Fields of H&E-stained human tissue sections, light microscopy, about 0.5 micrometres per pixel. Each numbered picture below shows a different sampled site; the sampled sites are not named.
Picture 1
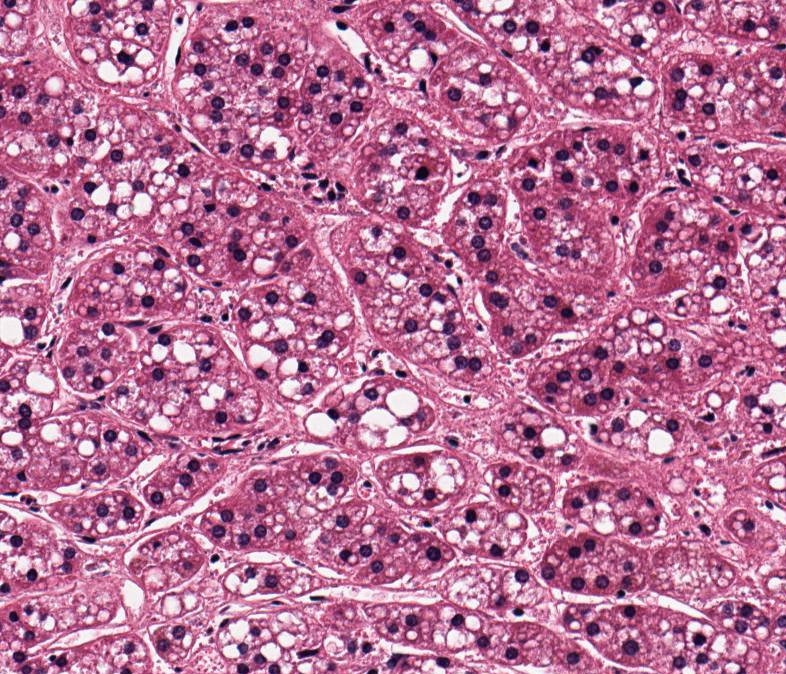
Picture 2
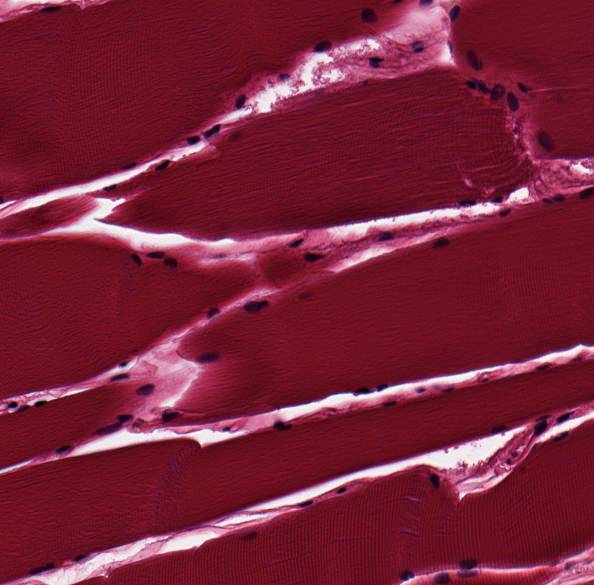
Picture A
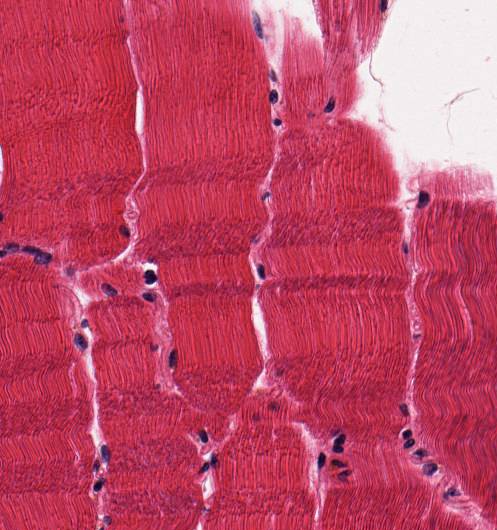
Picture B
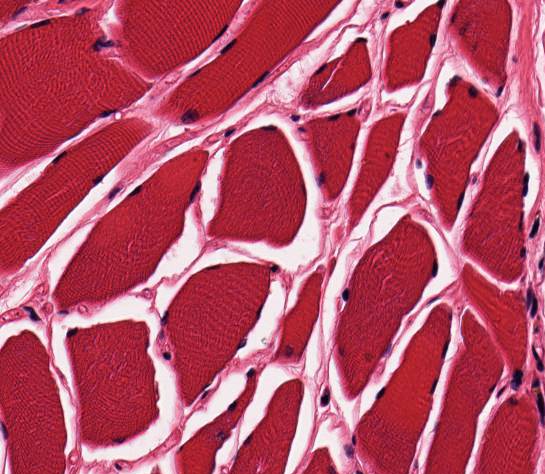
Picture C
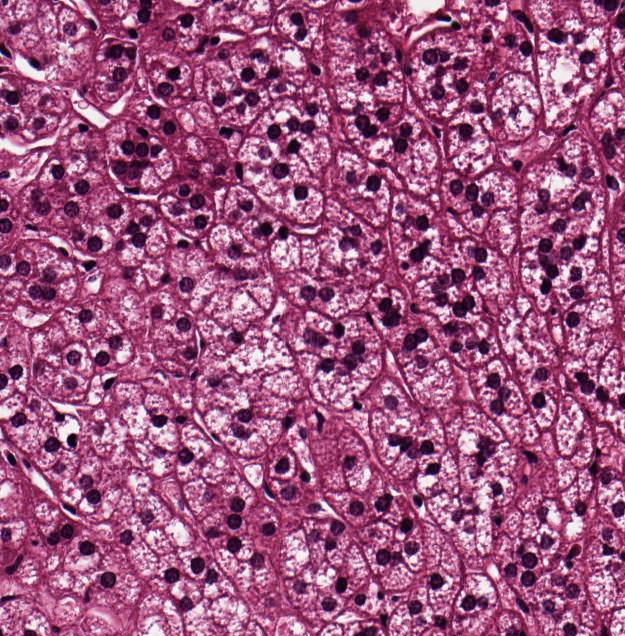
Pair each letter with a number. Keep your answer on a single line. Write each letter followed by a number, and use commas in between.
A 2, B 2, C 1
